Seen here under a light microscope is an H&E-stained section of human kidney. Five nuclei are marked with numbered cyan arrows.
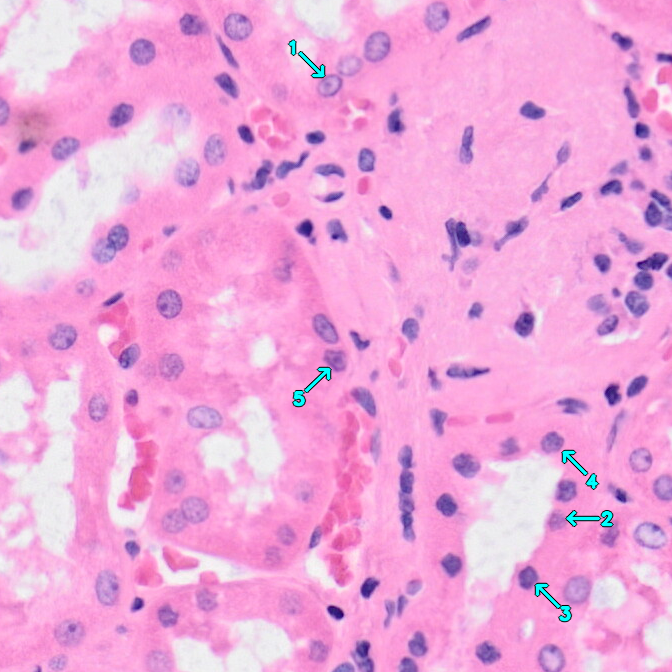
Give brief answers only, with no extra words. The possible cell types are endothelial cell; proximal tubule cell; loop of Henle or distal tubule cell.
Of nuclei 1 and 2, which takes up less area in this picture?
2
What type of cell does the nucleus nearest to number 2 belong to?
loop of Henle or distal tubule cell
